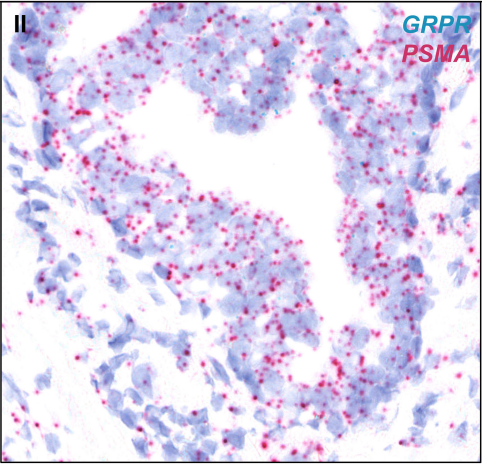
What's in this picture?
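The epithelial cells are densely dotted with many red dots, while blue dots are scarce. Thin strands of stroma with elongated nuclei lie between the epithelial clusters.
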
